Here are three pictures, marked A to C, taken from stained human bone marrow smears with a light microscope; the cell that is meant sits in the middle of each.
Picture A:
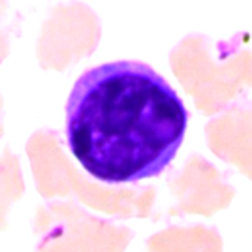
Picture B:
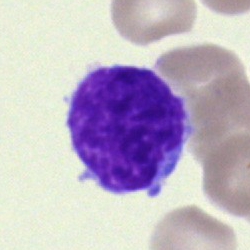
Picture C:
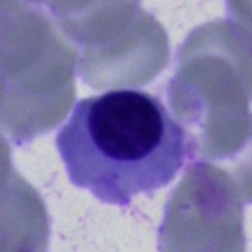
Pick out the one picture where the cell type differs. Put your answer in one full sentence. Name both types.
Picture C differs, because its cell is an erythroblast and the rest are lymphocytes.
